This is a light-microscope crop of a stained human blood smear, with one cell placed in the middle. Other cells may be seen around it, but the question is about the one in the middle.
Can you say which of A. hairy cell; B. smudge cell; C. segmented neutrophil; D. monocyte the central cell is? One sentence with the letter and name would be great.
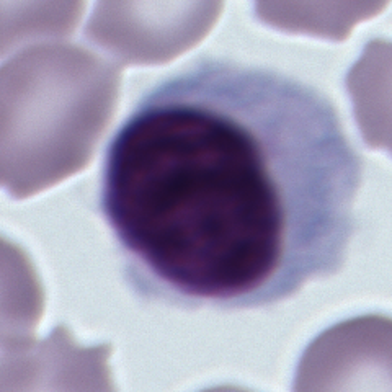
Since the cell in the middle is a hairy cell, option A is correct.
